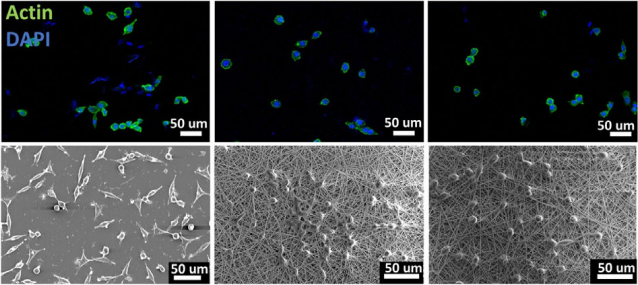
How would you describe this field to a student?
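In the fluorescence images the cells are few and well apart, each a small blue nucleus with a rim of green cytoplasm, many of them rather rounded. In the electron image of the flat surface the cells are spread and irregular, with several thin processes reaching out across the smooth background. On the fibrous mats a network of fine, randomly oriented fibres fills the field, and the few cells sit on it, partly blending into the mesh.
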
